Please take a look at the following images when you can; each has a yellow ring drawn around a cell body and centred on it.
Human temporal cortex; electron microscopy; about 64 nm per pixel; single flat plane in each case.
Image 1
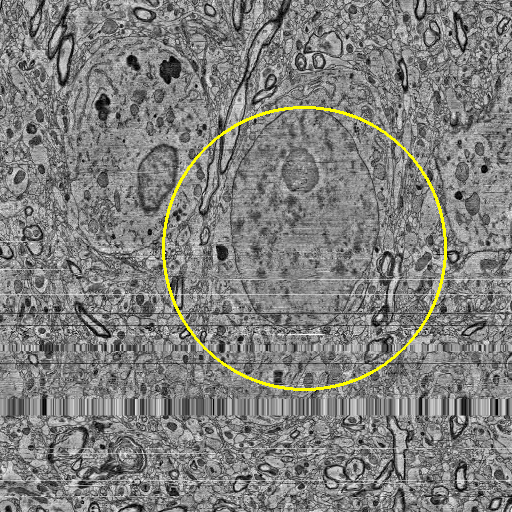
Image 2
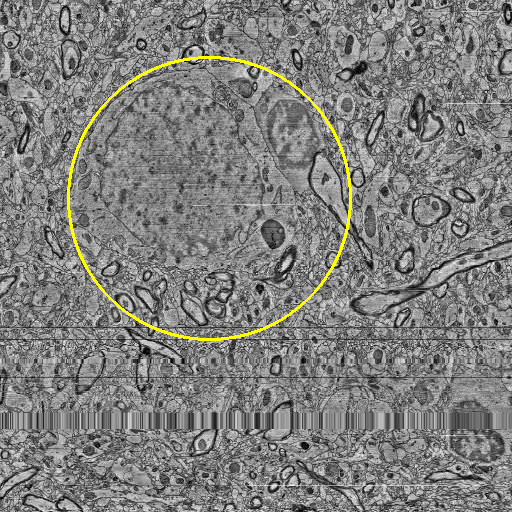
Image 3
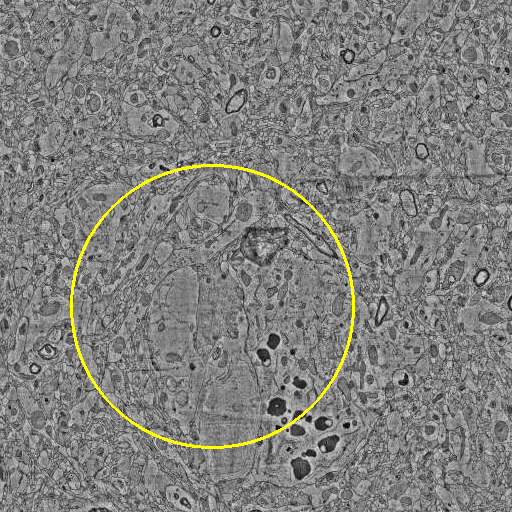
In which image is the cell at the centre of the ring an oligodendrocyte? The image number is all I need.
3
